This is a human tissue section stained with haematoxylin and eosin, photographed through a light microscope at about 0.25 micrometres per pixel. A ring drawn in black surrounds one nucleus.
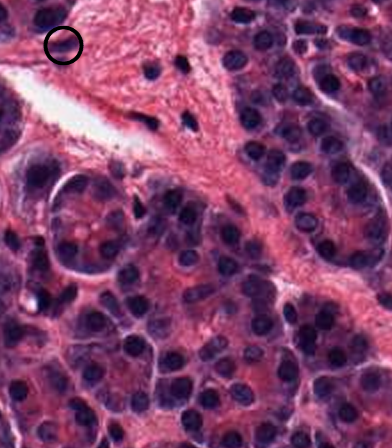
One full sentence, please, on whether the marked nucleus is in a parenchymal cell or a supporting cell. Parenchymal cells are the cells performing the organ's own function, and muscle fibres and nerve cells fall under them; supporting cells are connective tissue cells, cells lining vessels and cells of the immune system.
Designated as that of a supporting cell is the marked nucleus.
